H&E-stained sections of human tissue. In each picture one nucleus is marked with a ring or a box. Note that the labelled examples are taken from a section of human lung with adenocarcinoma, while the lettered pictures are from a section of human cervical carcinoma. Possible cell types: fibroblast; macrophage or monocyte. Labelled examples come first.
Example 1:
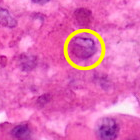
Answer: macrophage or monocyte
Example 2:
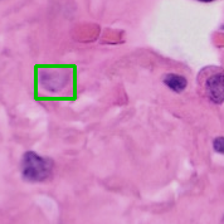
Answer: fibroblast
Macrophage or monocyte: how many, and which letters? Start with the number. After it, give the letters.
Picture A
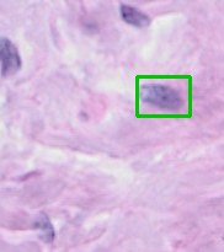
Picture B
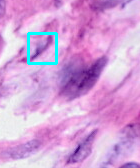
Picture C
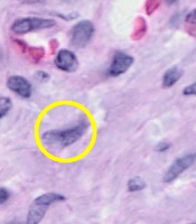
0, none of them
